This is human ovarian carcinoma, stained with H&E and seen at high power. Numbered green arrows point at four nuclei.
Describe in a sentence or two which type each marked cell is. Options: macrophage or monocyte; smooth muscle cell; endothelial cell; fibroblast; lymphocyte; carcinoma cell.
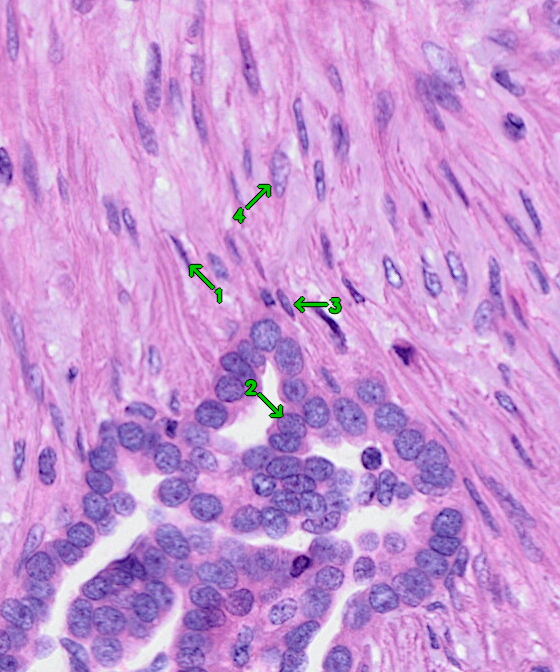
Cell 1 is a fibroblast, cell 2 is a carcinoma cell, cell 3 is a fibroblast and cell 4 is a fibroblast.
